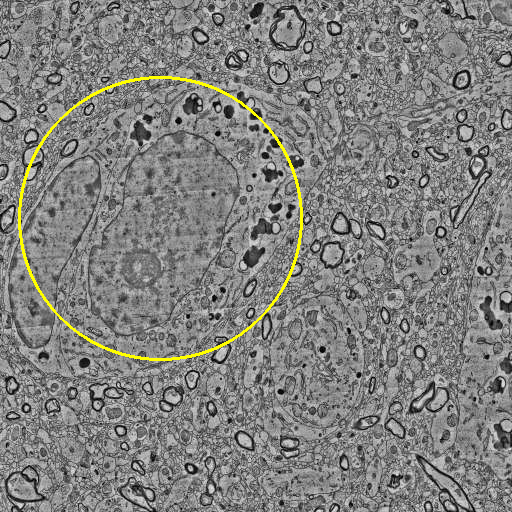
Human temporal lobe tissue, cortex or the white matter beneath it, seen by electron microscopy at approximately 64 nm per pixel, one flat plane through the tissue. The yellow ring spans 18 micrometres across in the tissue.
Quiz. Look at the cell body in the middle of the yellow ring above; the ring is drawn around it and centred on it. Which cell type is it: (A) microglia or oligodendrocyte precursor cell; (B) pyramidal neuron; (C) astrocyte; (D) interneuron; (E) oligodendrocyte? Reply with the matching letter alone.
D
